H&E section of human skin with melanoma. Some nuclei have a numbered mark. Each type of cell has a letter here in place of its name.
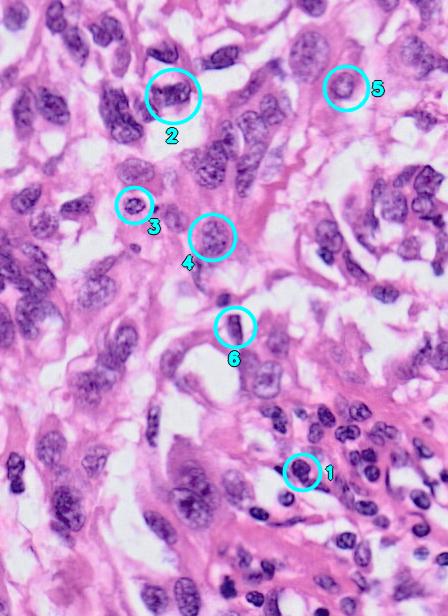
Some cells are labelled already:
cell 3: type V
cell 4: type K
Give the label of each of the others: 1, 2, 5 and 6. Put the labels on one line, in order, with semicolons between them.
type V; type K; type K; type K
